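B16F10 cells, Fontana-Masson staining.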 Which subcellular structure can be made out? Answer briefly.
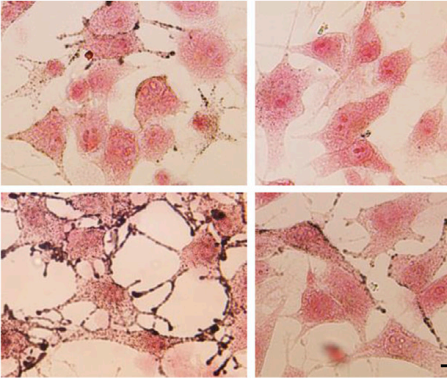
dendrites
